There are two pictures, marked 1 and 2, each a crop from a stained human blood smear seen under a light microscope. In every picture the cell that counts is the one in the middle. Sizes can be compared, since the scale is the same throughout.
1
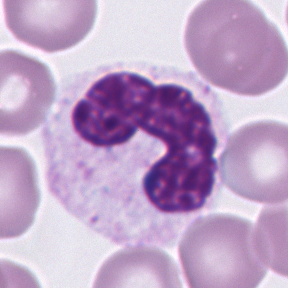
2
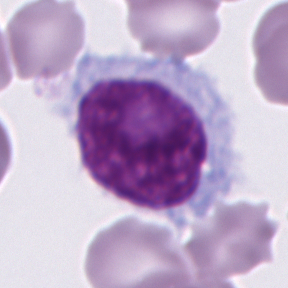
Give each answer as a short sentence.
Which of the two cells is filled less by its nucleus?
In crop 1 the nucleus takes up the smaller part of its cell.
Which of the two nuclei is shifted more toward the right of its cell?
Seen within its cell, the nucleus in crop 1 lies further toward the right.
